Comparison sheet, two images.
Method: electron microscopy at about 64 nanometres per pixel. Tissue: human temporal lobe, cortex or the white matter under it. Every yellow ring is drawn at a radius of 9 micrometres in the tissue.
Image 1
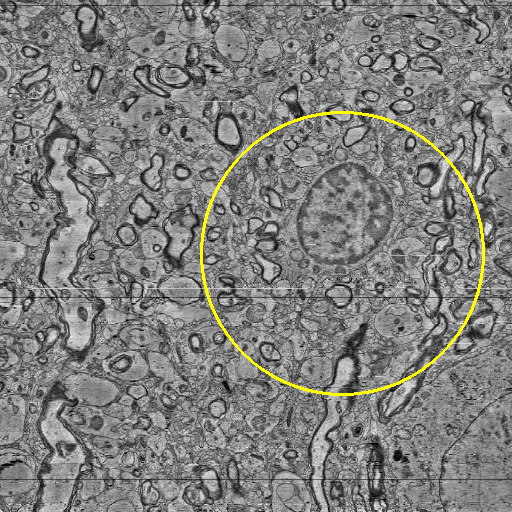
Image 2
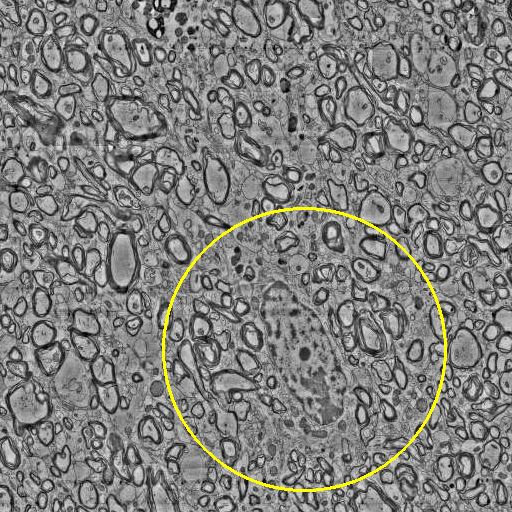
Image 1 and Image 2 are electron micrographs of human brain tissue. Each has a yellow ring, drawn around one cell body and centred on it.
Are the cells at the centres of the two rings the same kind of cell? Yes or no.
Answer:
no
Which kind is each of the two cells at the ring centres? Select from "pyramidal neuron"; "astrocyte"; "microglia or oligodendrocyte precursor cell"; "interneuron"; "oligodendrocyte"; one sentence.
The cell at the centre of the ring is an oligodendrocyte in the first picture and an astrocyte in the second.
